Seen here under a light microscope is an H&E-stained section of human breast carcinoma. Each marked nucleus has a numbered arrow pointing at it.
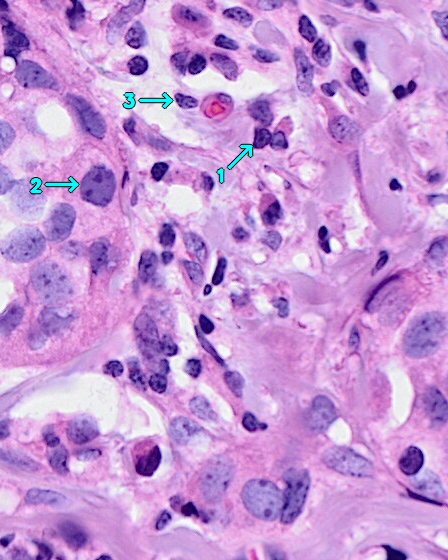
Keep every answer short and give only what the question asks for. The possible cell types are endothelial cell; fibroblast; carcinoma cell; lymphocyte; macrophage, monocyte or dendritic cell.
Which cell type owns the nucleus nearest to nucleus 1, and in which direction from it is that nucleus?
a macrophage, monocyte or dendritic cell to the right of nucleus 1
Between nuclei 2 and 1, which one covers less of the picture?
1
